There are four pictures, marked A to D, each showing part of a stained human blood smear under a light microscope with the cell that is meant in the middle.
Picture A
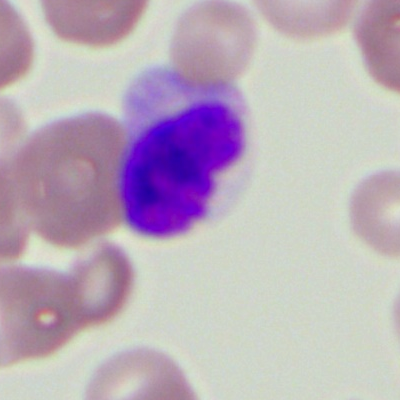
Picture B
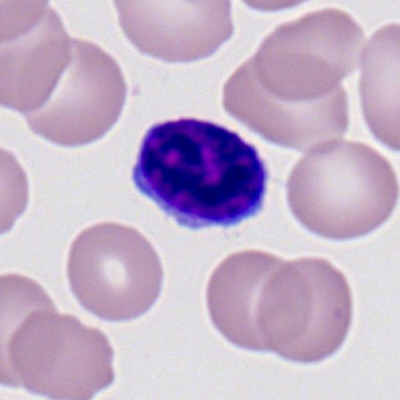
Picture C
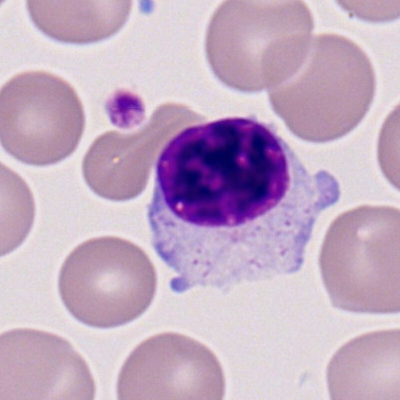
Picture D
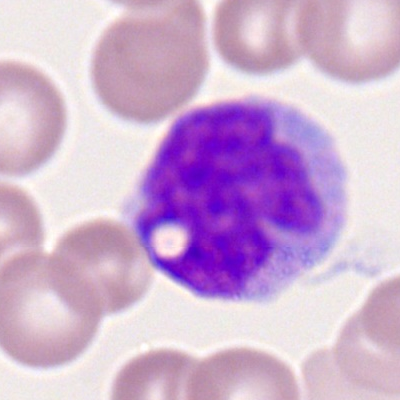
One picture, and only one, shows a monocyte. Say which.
D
